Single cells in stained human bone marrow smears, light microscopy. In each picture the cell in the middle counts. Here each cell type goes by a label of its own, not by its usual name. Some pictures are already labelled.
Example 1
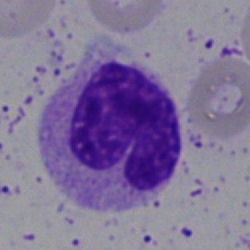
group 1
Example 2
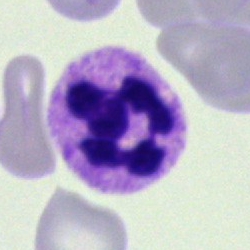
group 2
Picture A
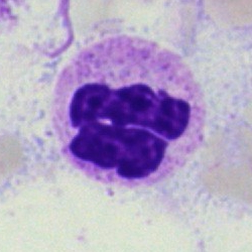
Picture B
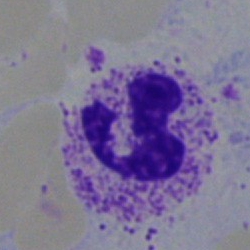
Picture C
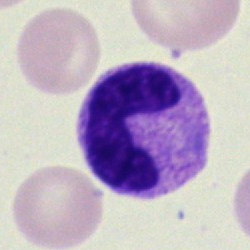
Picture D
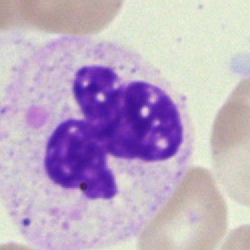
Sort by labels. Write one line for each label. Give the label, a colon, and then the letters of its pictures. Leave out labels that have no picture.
group 1: C
group 2: A, B, D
